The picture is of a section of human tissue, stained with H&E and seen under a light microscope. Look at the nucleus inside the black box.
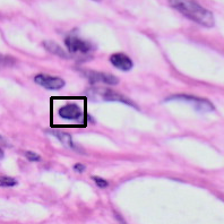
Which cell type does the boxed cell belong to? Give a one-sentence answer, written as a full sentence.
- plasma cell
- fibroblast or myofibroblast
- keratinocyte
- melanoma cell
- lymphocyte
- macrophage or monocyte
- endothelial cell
Labelled by cell type, the boxed cell is a lymphocyte.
